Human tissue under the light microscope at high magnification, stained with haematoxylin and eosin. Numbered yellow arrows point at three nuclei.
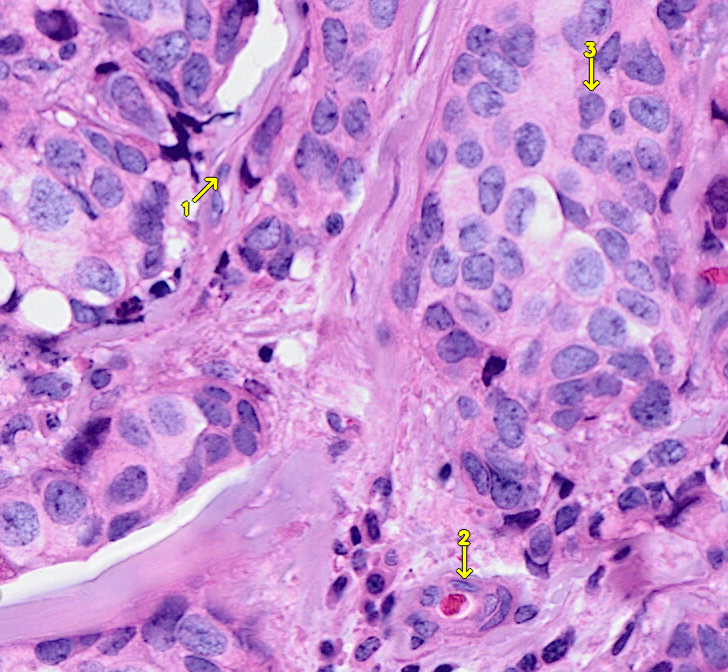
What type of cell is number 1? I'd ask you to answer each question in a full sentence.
Here the cell numbered 1 is an endothelial cell.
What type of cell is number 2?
Corresponding to an endothelial cell is the cell labelled 2.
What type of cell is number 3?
The cell indicated with the number 3 is classed as a carcinoma cell.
